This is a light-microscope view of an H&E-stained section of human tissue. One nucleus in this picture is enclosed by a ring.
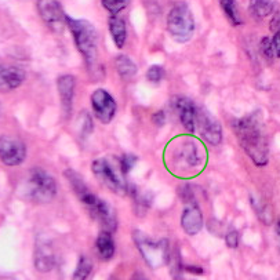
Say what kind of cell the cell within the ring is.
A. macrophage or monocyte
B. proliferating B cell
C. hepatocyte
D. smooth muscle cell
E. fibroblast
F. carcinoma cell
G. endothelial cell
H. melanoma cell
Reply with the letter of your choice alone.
H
